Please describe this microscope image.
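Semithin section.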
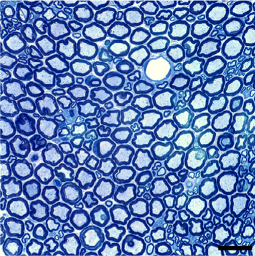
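This is a cross-section of a peripheral nerve packed with myelinated nerve fibers. Each fiber appears as a round to slightly polygonal dark blue myelin ring enclosing a pale, clear axon. The fibers vary in size, from large to small, and lie closely side by side with little space between them. Small scattered pale profiles and a few tiny dark nuclei lie in the spaces between fibers. A round empty lumen, likely a small vessel, lies near the upper right.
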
